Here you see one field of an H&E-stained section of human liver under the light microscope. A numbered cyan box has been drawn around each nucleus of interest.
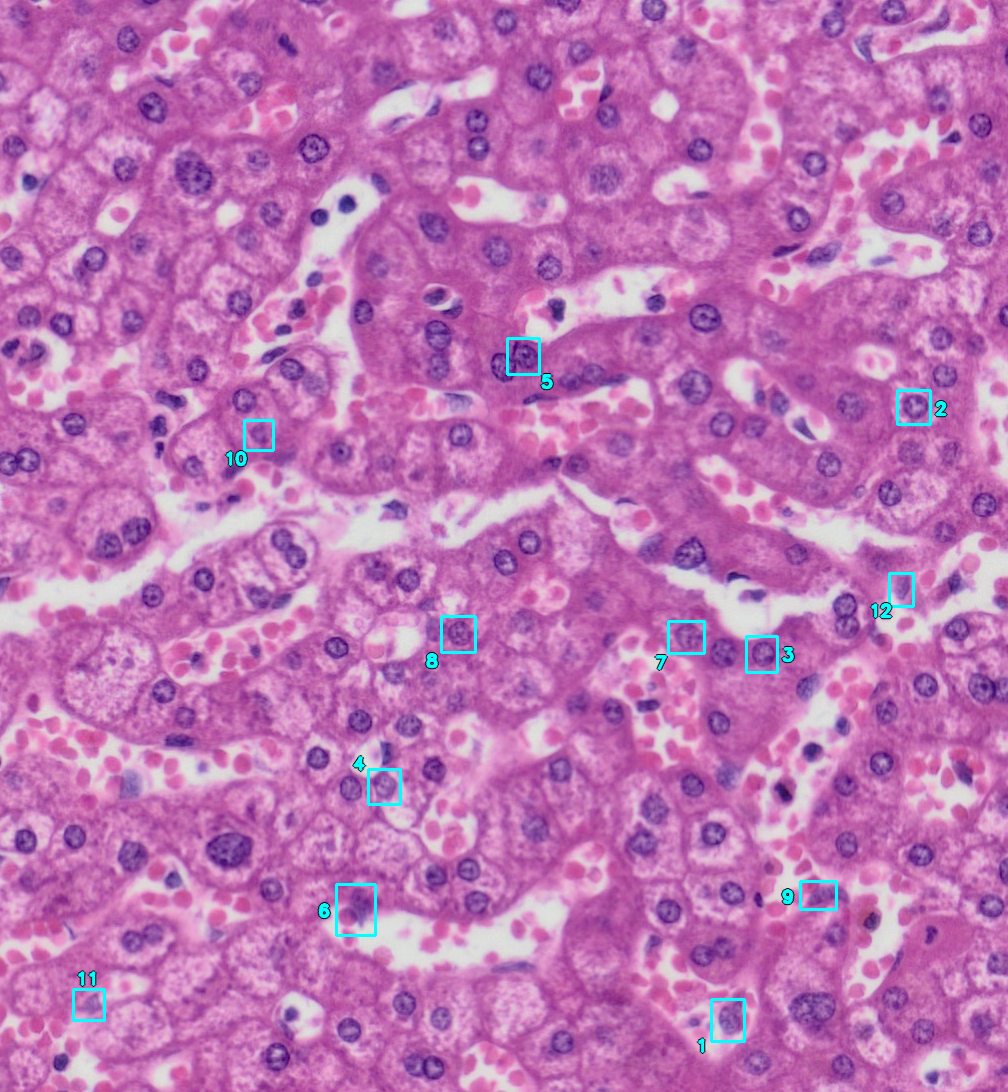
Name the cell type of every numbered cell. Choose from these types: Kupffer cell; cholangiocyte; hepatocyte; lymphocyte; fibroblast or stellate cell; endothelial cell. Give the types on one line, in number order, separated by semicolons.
Kupffer cell; hepatocyte; hepatocyte; hepatocyte; hepatocyte; endothelial cell; hepatocyte; hepatocyte; Kupffer cell; hepatocyte; endothelial cell; Kupffer cell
